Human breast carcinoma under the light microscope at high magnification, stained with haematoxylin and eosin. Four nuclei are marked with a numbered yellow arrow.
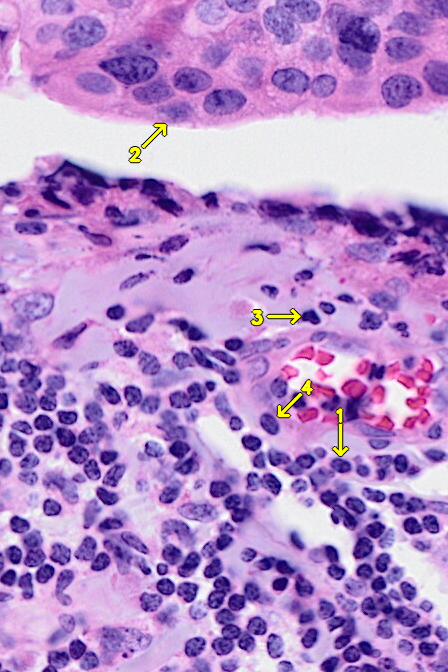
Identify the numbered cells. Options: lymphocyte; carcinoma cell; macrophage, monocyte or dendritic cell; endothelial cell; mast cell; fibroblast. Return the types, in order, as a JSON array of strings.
["lymphocyte", "carcinoma cell", "lymphocyte", "lymphocyte"]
